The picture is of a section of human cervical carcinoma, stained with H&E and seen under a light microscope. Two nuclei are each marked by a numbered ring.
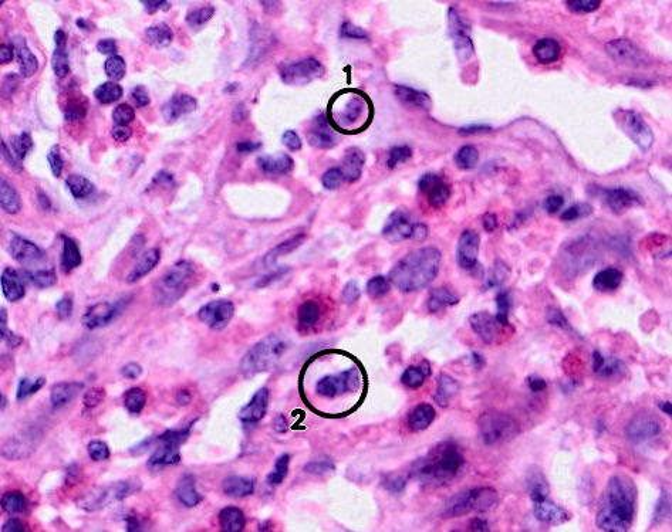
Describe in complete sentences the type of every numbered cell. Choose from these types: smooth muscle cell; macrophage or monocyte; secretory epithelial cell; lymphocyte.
Cell 1 is a macrophage or monocyte. Cell 2 is a lymphocyte.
